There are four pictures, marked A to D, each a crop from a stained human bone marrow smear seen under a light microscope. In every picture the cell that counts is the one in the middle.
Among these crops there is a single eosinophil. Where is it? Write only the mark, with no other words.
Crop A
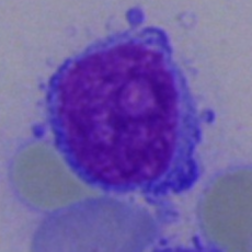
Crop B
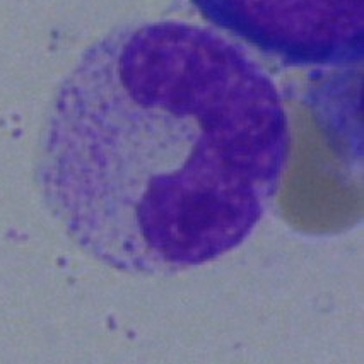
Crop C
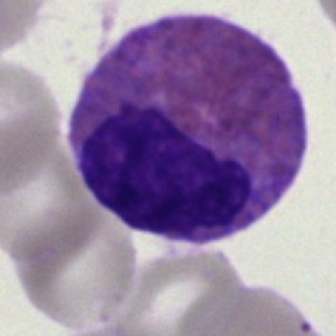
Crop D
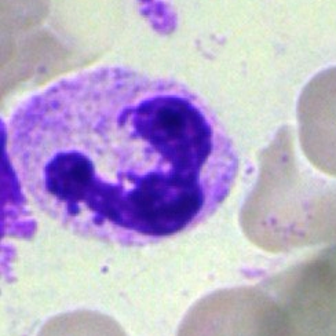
C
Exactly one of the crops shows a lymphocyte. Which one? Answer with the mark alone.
A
